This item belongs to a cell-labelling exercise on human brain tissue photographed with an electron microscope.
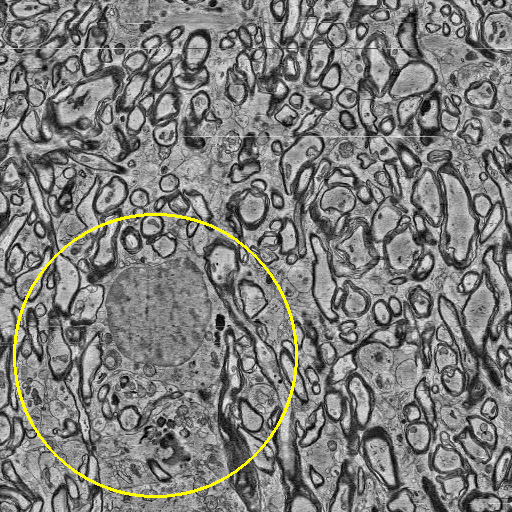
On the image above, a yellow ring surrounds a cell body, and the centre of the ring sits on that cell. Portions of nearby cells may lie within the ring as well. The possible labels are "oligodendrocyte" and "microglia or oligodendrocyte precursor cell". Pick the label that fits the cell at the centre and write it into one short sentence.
This cell should be labelled as an oligodendrocyte.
